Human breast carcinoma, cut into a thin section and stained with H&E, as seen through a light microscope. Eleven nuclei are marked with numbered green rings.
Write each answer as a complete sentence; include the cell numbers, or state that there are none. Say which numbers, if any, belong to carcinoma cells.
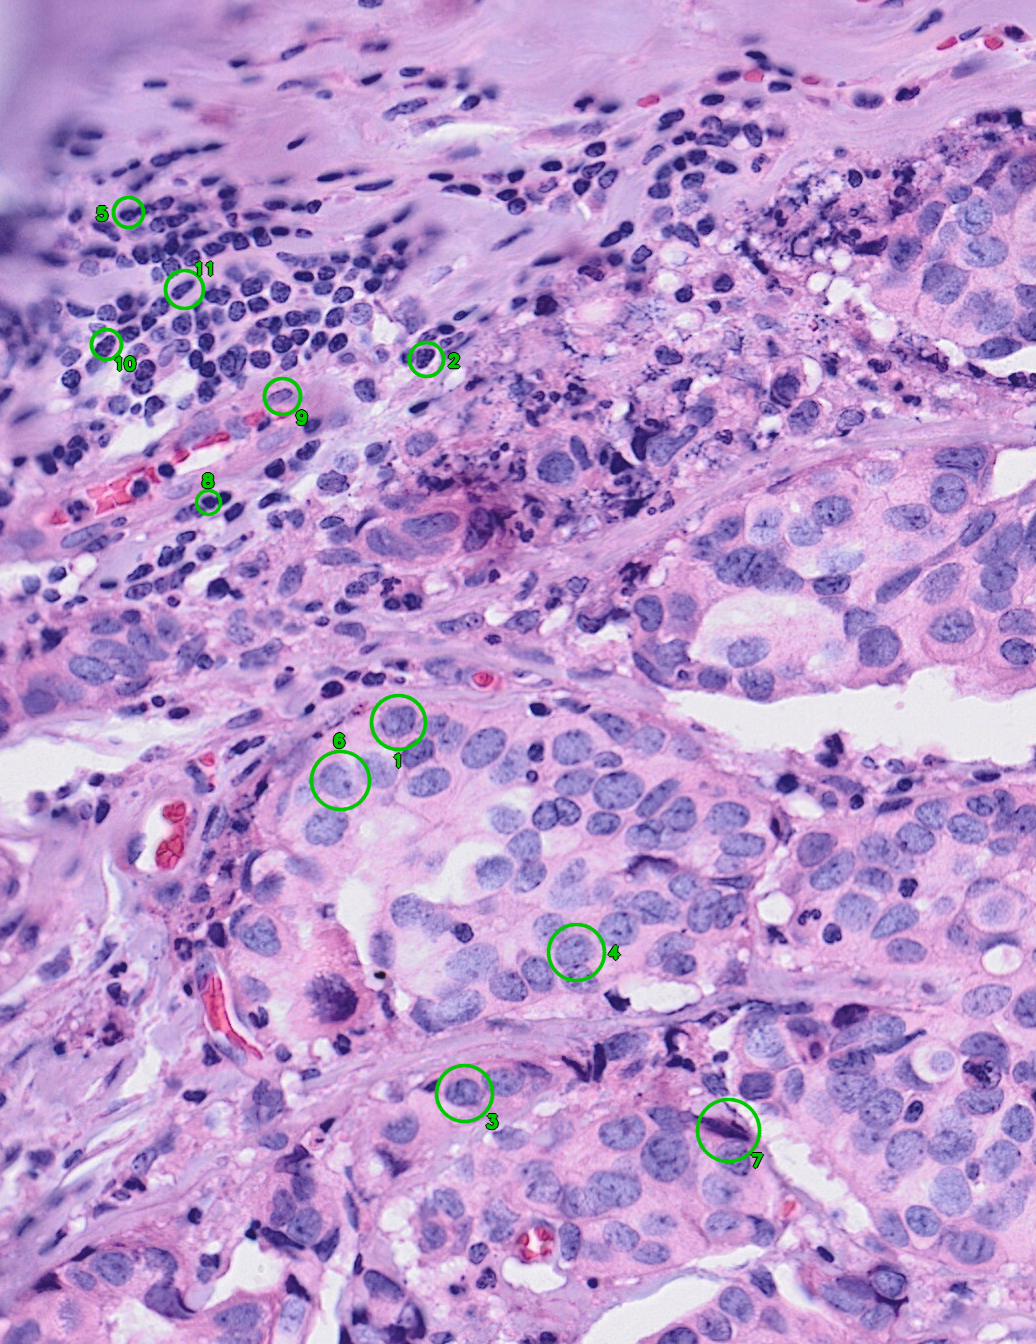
The cells which carry the numbers 1, 3, 4, 6 and 7 are carcinoma cells.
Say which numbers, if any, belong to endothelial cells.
Cell 9 is an endothelial cell, while all remaining marked cells are of other types.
